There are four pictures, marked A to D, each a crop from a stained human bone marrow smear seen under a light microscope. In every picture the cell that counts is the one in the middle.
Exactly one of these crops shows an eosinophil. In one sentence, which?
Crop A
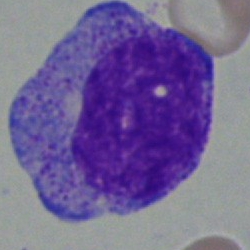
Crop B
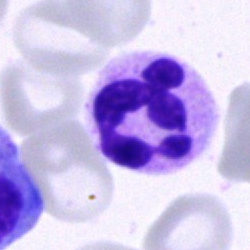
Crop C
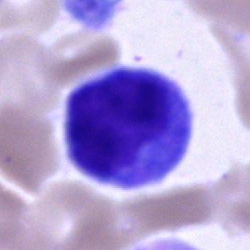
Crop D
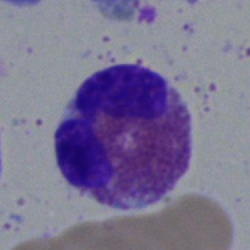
Crop D is the crop containing an eosinophil.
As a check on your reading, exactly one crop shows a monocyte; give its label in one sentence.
Identified crop: C, the one that shows a monocyte.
